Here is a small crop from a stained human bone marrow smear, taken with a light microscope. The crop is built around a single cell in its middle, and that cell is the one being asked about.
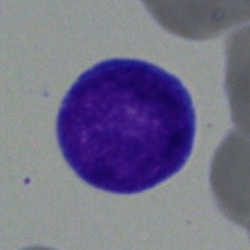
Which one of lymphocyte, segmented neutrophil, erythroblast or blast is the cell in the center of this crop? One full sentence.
The cell at the middle of the crop is recognized as a blast.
